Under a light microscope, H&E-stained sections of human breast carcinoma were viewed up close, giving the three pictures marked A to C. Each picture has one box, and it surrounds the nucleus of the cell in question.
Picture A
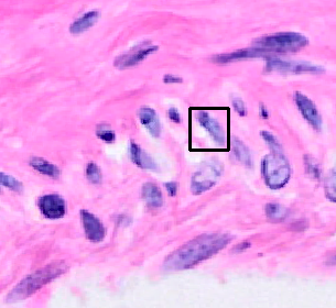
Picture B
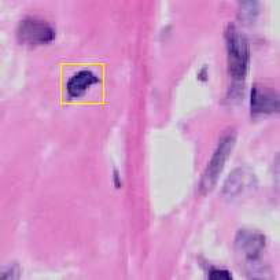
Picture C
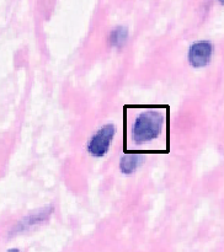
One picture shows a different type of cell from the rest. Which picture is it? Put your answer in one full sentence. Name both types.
Picture A differs, because its cell is an endothelial cell and the rest are lymphocytes.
